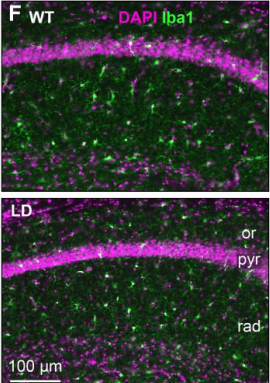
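Two stacked fluorescence views of the same brain region show small, evenly scattered green cells with compact bodies and fine, branching processes, lying among magenta nuclei on either side of a dense, curved magenta band of tightly packed nuclei. Above the band the nuclei are sparser; below it, in a broader zone, they are loosely scattered.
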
